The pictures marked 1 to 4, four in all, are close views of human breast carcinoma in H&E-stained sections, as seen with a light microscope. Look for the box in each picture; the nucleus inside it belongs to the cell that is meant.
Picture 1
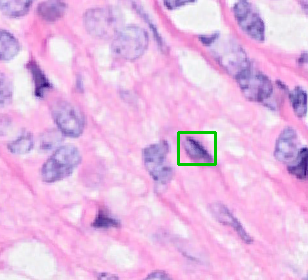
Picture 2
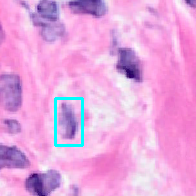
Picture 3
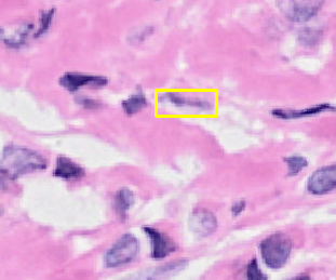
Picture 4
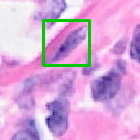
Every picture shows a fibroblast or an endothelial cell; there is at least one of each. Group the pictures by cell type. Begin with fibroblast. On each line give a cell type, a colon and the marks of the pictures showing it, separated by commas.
fibroblast: 2, 3
endothelial cell: 1, 4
